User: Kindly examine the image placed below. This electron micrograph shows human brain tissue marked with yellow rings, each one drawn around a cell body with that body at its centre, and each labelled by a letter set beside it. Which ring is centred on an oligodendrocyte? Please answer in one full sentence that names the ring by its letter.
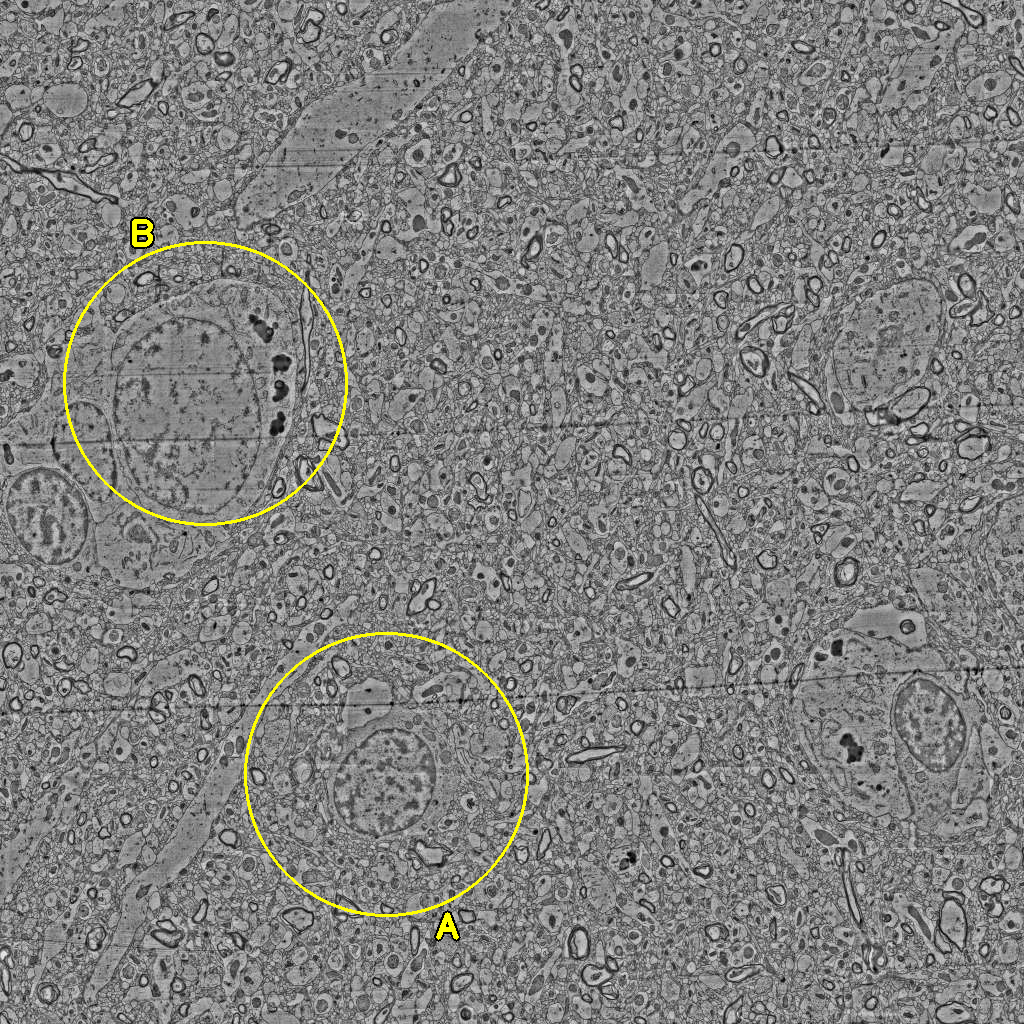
Ring A is the one drawn around the cell asked for.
